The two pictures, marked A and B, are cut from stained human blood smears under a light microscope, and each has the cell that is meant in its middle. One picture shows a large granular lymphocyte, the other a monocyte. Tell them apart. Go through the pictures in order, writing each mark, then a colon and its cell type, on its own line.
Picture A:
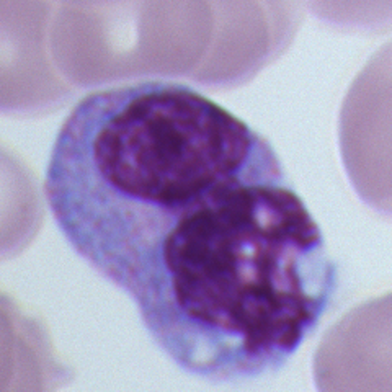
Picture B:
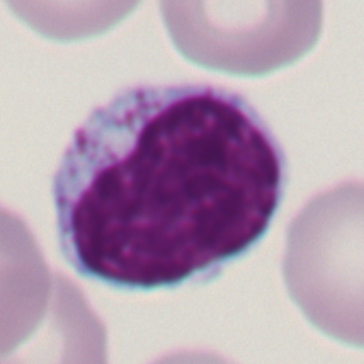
A: monocyte
B: large granular lymphocyte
